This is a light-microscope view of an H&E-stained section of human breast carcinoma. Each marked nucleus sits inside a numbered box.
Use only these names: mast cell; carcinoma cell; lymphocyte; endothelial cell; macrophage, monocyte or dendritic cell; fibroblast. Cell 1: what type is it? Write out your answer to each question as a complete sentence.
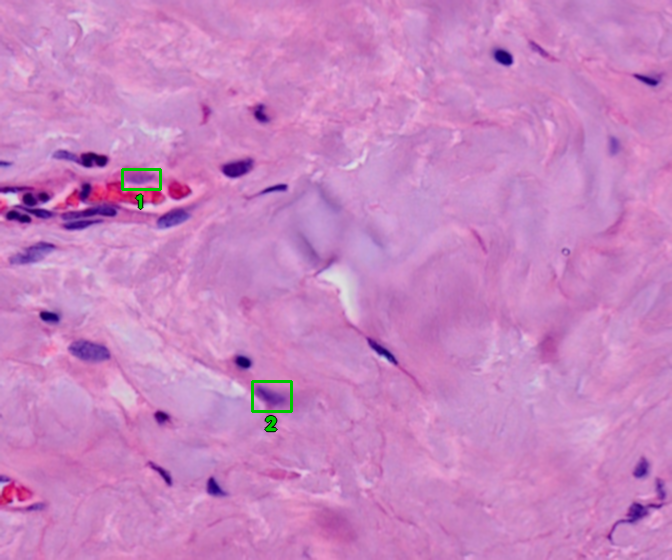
The cell pointed out by number 1 is an endothelial cell.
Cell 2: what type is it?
The cell that bears the number 2 is a fibroblast.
